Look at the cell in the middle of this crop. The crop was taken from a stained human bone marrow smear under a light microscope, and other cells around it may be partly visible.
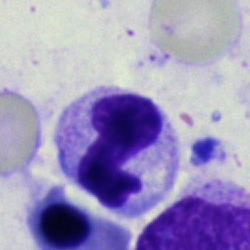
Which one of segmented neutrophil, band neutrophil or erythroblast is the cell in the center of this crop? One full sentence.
The middle of this crop is occupied by a band neutrophil.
